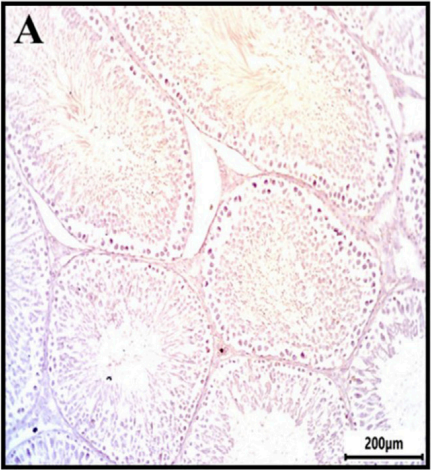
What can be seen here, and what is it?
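This is a section of testis with closely packed, rounded to polygonal tubules, each filled with an orderly, many-layered germ cell epithelium. Small round purple nuclei line the outer edge and are stacked inward toward a central lumen with pale, thread-like material. The tissue is pale overall, with no distinct brown-stained nuclei.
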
